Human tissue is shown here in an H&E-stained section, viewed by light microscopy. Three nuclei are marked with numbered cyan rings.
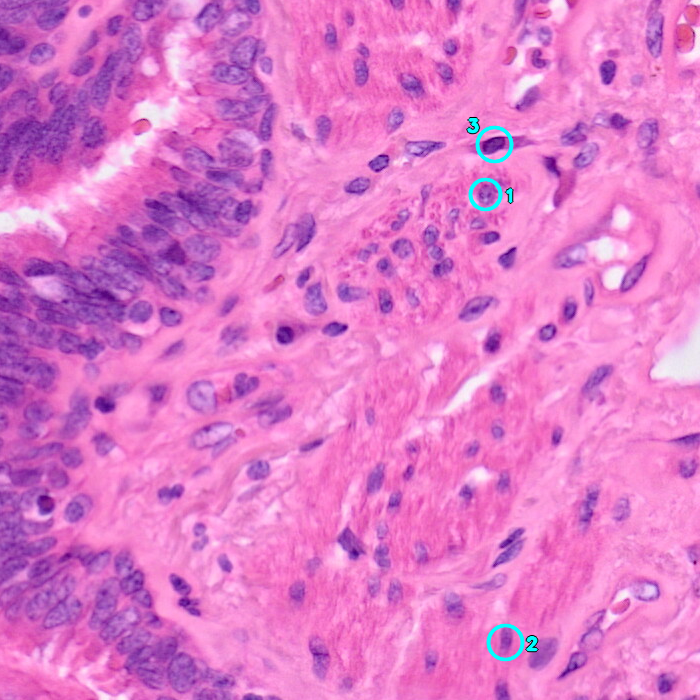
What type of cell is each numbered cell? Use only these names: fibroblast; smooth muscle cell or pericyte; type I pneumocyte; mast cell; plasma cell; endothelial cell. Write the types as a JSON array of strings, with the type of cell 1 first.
["smooth muscle cell or pericyte", "smooth muscle cell or pericyte", "plasma cell"]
